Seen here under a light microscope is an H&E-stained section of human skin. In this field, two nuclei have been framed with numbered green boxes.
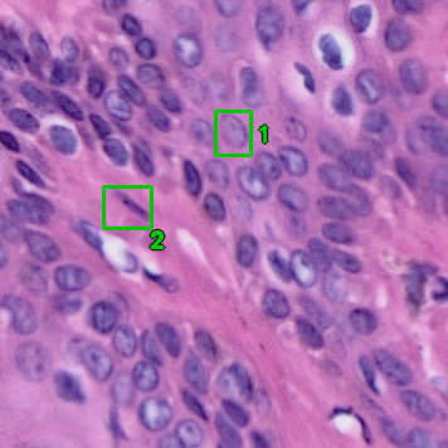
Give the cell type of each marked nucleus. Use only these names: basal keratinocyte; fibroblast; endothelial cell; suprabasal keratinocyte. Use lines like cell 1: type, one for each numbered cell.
cell 1: suprabasal keratinocyte
cell 2: fibroblast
